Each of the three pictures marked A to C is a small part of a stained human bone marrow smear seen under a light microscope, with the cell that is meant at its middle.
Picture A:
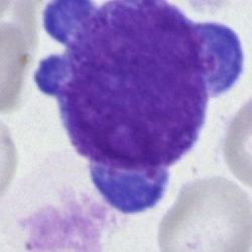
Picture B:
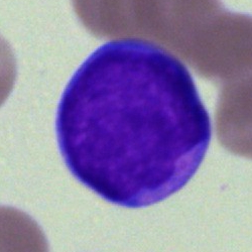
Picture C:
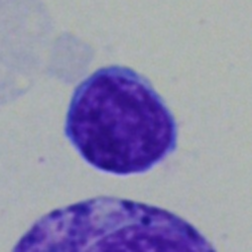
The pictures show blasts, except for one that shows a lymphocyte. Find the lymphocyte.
C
